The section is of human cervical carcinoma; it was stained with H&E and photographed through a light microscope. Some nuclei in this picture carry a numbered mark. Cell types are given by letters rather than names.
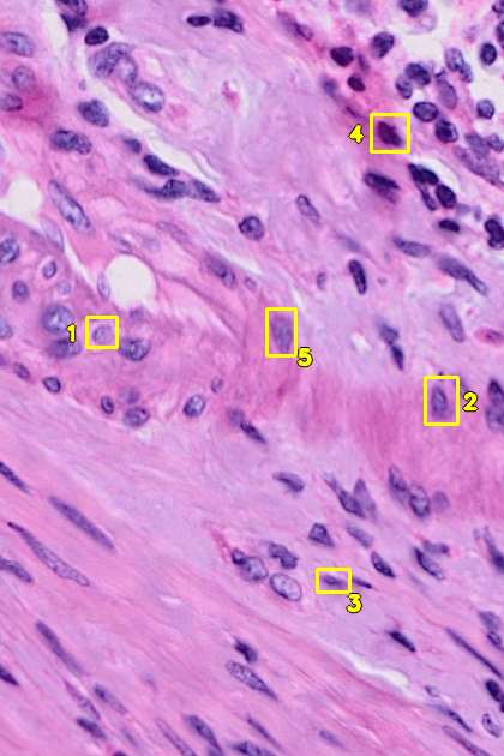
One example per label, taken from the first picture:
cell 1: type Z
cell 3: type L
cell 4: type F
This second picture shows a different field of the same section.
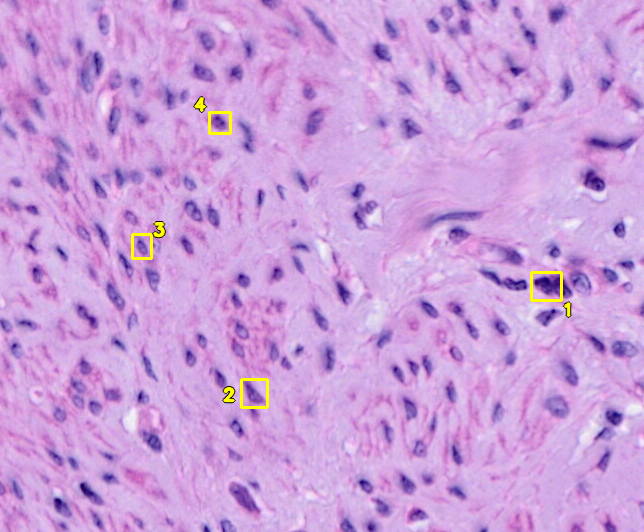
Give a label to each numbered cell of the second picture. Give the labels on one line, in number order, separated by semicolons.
type F; type Z; type Z; type Z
